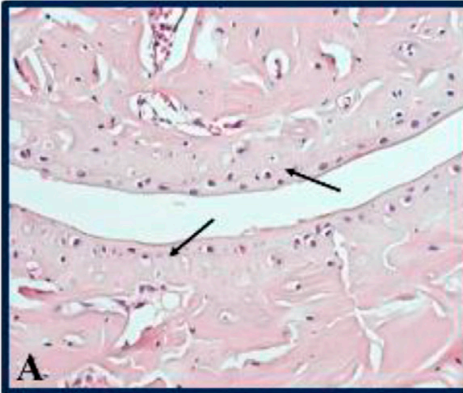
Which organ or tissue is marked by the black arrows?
hyaline cartilage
